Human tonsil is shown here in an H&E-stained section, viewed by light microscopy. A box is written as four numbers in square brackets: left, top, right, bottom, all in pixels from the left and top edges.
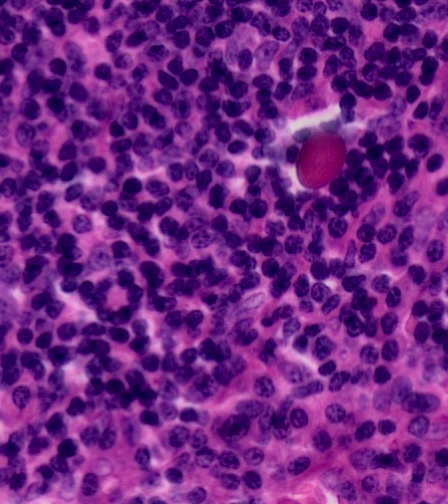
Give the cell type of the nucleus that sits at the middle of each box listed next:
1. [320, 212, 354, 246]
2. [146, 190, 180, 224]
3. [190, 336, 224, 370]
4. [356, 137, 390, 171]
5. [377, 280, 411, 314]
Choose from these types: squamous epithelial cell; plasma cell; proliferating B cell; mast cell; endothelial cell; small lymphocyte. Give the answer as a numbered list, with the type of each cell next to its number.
1. plasma cell
2. small lymphocyte
3. small lymphocyte
4. small lymphocyte
5. plasma cell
